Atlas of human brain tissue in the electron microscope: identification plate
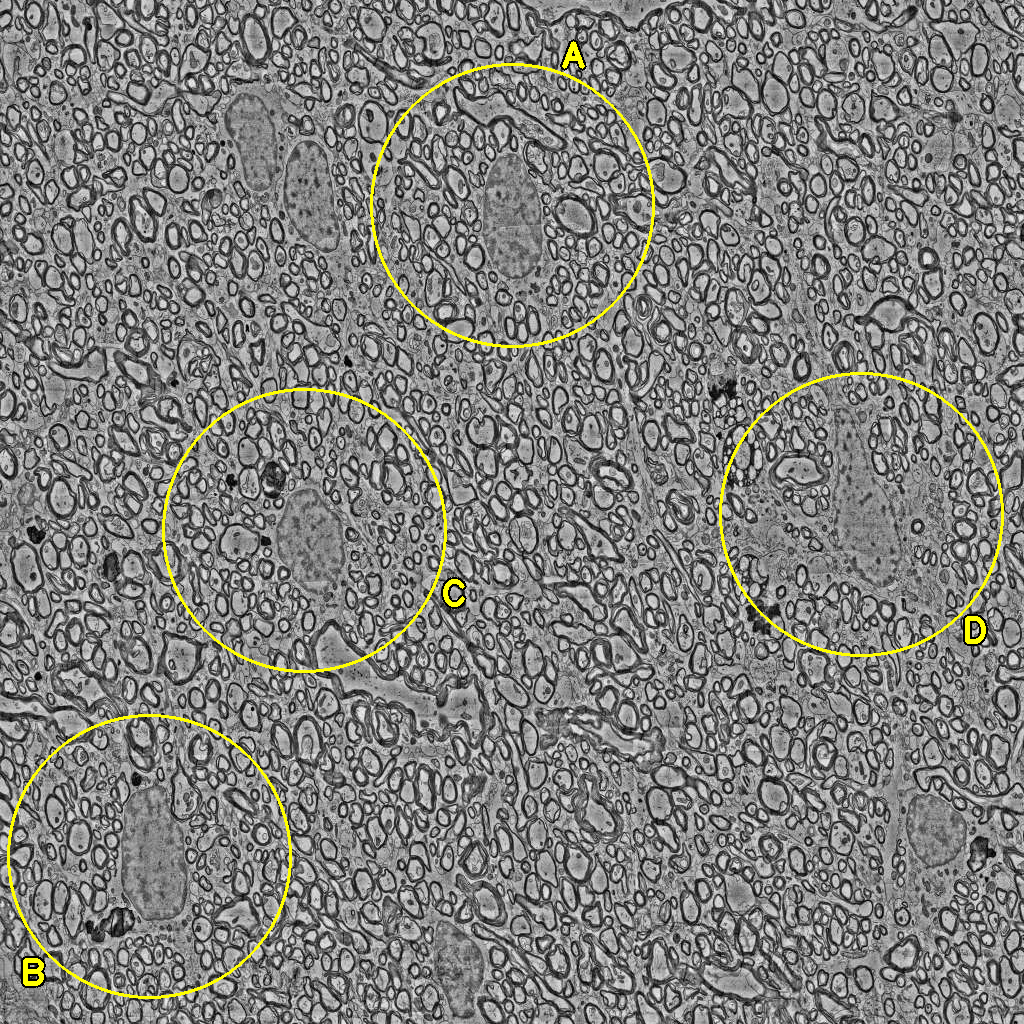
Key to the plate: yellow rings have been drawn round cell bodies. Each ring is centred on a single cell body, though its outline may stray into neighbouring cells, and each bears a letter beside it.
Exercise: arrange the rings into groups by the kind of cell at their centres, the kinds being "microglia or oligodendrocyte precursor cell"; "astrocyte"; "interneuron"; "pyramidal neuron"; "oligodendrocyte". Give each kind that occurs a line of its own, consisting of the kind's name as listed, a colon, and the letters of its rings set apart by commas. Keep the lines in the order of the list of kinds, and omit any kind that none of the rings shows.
astrocyte: D
oligodendrocyte: A, B, C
